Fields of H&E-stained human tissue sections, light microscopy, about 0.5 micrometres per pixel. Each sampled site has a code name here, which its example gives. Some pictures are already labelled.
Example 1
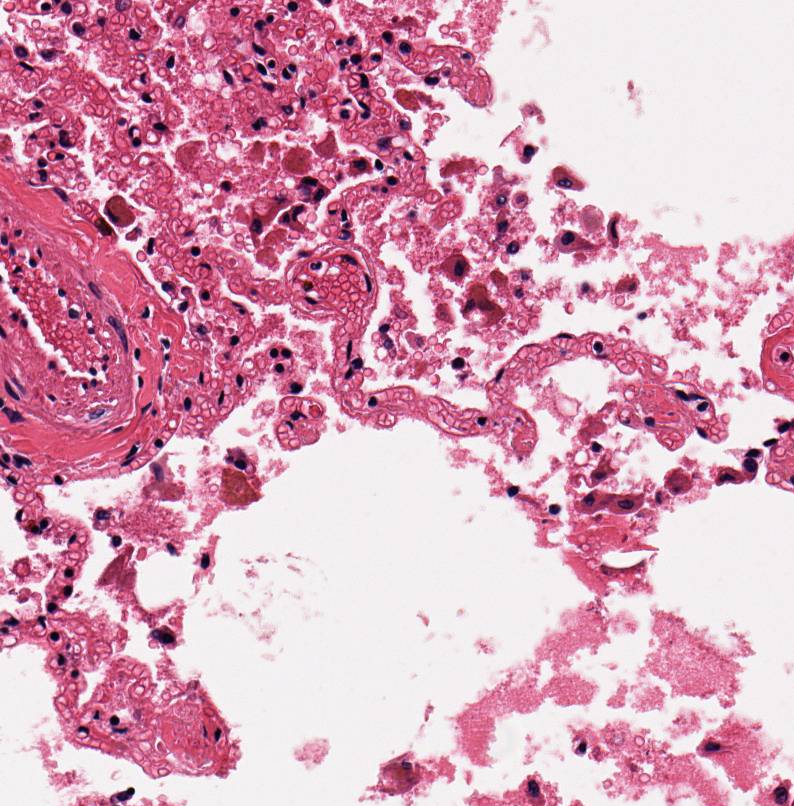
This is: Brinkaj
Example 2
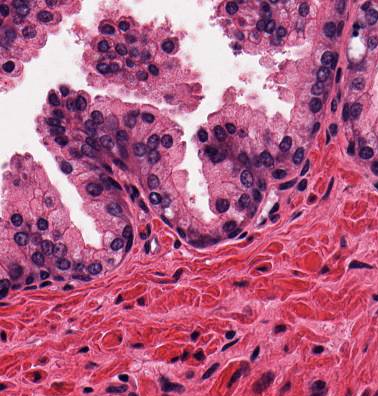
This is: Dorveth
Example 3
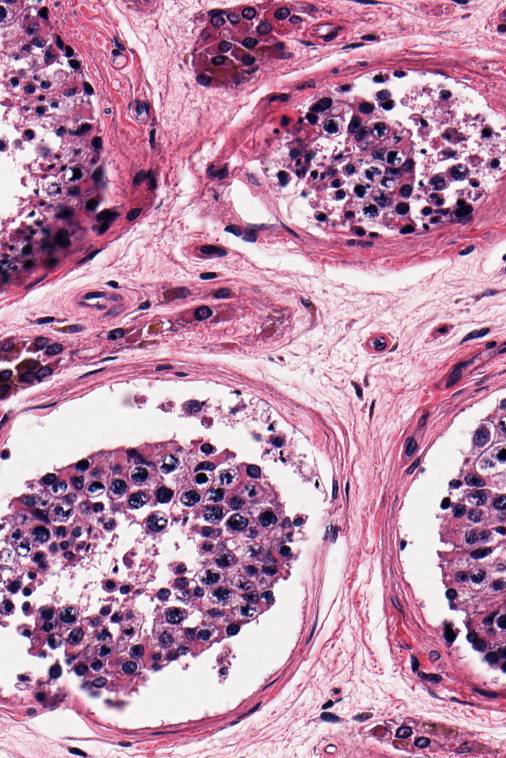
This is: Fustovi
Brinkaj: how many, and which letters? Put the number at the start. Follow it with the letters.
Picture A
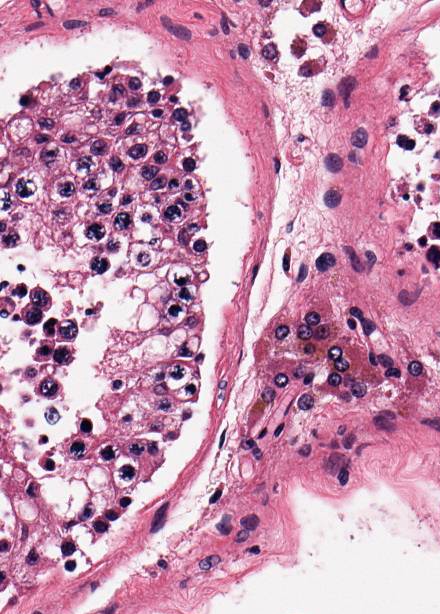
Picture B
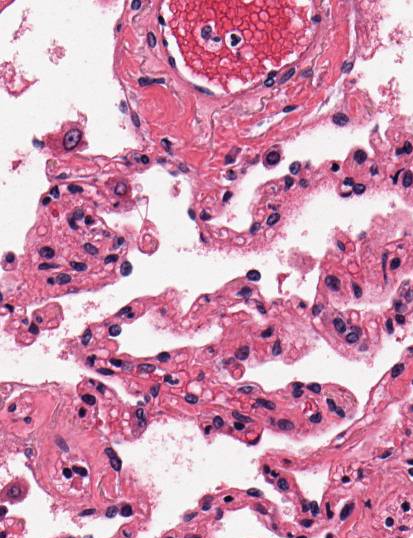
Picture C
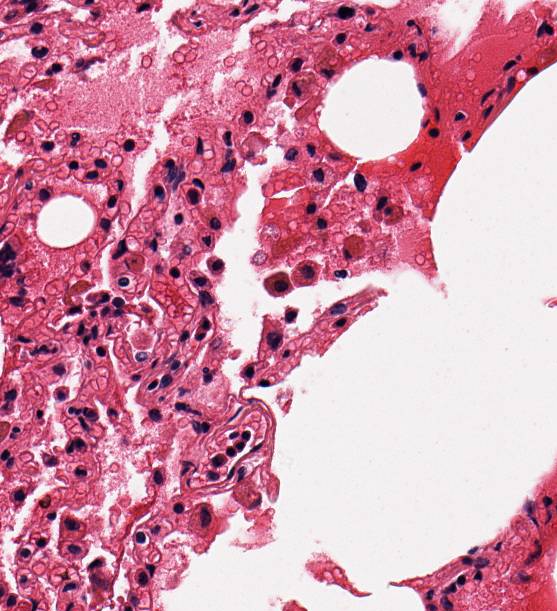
2, namely B, C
